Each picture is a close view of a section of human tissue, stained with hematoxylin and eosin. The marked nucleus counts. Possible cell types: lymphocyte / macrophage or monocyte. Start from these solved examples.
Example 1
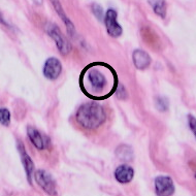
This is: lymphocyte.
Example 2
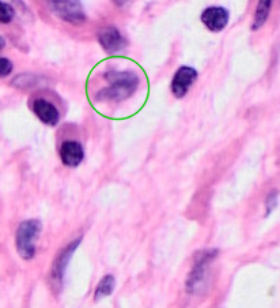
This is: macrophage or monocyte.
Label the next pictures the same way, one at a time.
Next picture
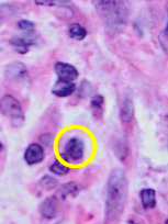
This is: lymphocyte.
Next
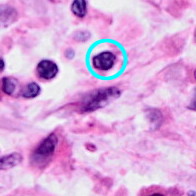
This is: lymphocyte.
